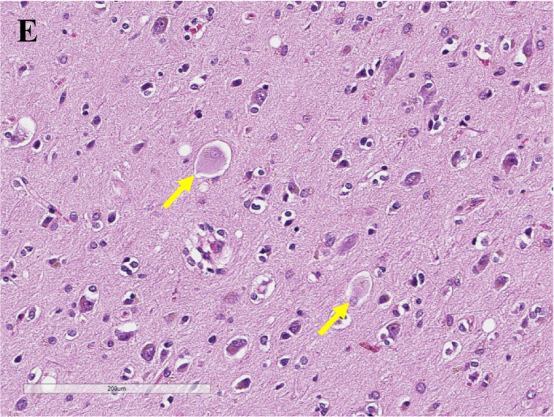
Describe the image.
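Cortical grey matter shows many scattered small dark nuclei in a pink fibrillary background, with a few larger cells among them. Two cells stand out: they are swollen and rounded, with smooth, pale glassy pink cytoplasm and a thin clear rim around them. Their bloated, homogeneous cell bodies, larger than their neighbours, mark them as ballooned neurons.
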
